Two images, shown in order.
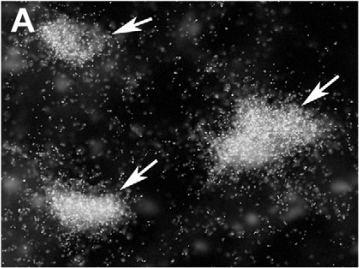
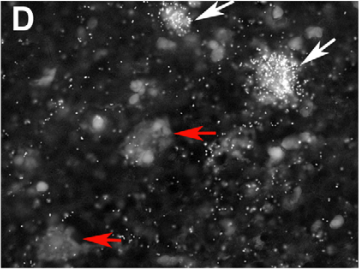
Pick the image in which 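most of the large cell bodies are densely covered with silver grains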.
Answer: The first image.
